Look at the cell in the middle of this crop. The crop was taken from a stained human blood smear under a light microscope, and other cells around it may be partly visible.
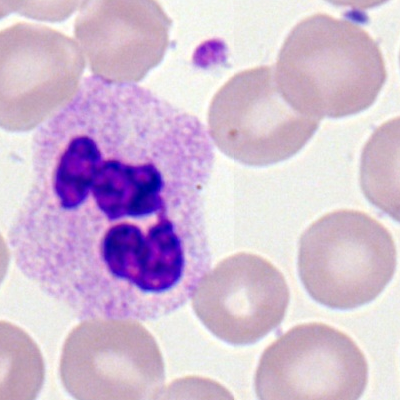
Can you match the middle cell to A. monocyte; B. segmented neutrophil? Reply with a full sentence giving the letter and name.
In the middle of the crop is a segmented neutrophil; option B is therefore correct.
